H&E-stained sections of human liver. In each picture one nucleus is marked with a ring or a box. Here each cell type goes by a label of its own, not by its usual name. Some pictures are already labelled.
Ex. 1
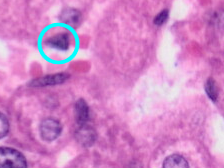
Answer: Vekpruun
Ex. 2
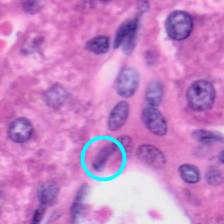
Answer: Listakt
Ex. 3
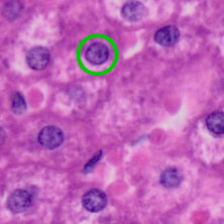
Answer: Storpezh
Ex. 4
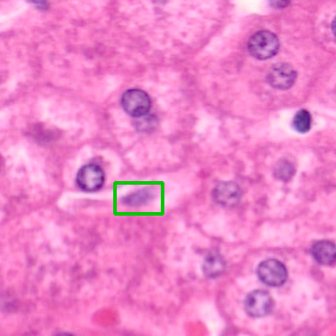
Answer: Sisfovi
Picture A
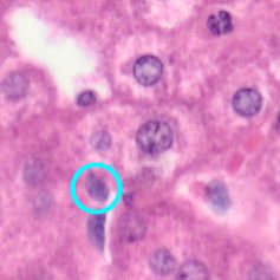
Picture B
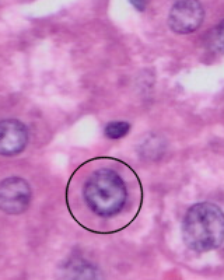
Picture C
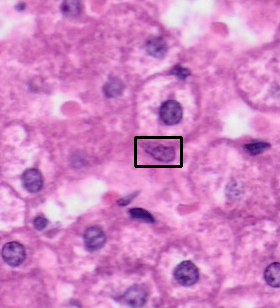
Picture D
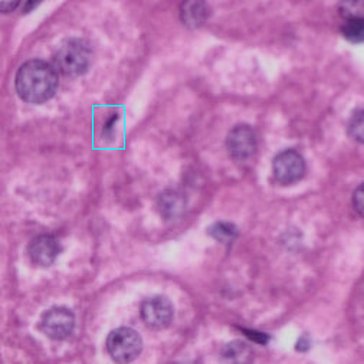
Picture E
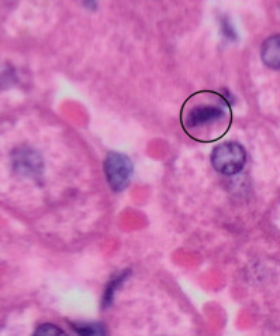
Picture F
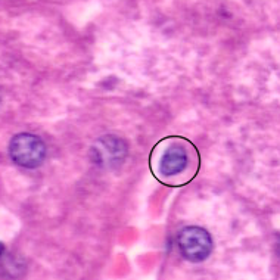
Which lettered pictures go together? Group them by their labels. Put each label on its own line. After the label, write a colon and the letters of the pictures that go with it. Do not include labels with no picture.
Vekpruun: A, D
Listakt: E
Storpezh: B
Sisfovi: C, F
